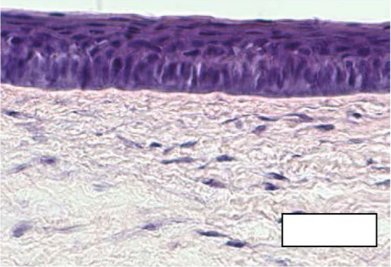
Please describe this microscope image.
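This is corneal epithelium resting on its stroma. The epithelium forms a continuous stratified layer several cells thick, its nuclei deep purple and closely packed. The deepest cells sit in a neat row along the base and appear taller, while cells toward the surface become flatter, giving a smooth, even outer edge. The boundary with the underlying tissue is sharp and straight. Beneath, the stroma is pale and faintly fibrous, with few cells: scattered slender, spindle-shaped nuclei lie flattened among the fibres, oriented roughly parallel to the surface.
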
